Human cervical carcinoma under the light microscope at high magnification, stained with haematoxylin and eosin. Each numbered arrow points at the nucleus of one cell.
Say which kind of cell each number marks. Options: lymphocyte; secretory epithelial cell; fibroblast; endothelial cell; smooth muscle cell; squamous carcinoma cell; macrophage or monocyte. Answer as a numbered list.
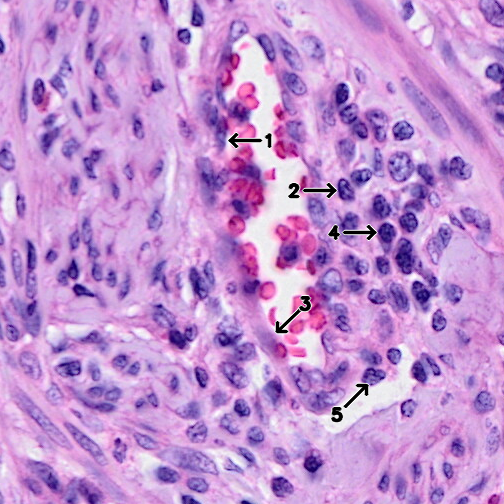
1. endothelial cell
2. lymphocyte
3. endothelial cell
4. lymphocyte
5. lymphocyte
